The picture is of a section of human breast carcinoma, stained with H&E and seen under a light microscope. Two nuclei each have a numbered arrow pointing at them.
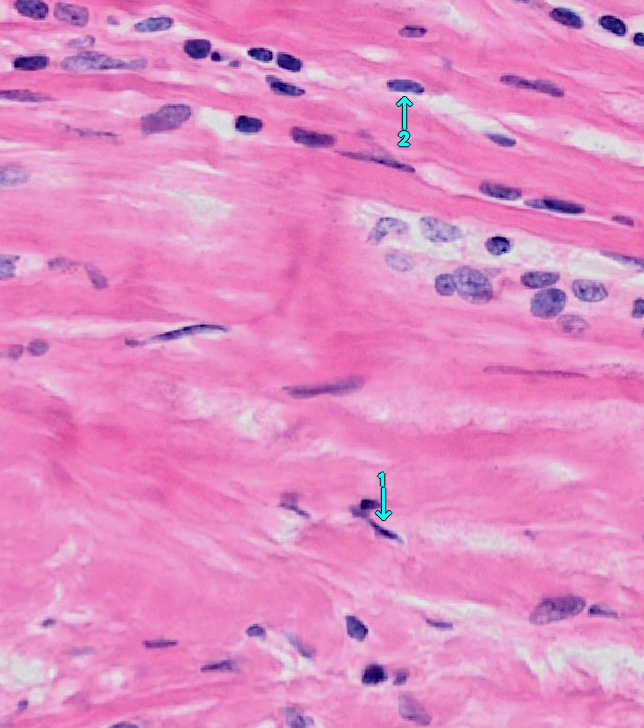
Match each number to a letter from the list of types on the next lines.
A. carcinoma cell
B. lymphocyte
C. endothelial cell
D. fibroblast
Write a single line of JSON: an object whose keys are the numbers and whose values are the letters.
{"1": "D", "2": "B"}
